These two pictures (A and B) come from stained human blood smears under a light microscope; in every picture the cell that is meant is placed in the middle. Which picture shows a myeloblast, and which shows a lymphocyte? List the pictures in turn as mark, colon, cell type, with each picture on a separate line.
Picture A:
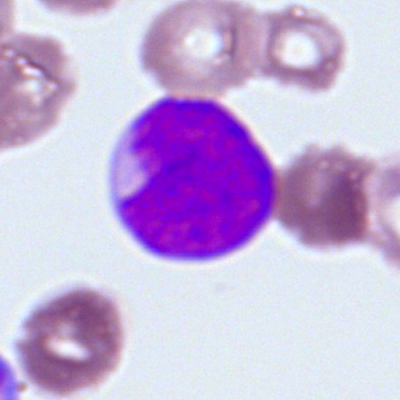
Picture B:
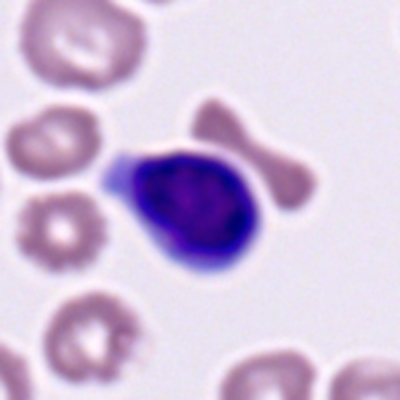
A: myeloblast
B: lymphocyte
